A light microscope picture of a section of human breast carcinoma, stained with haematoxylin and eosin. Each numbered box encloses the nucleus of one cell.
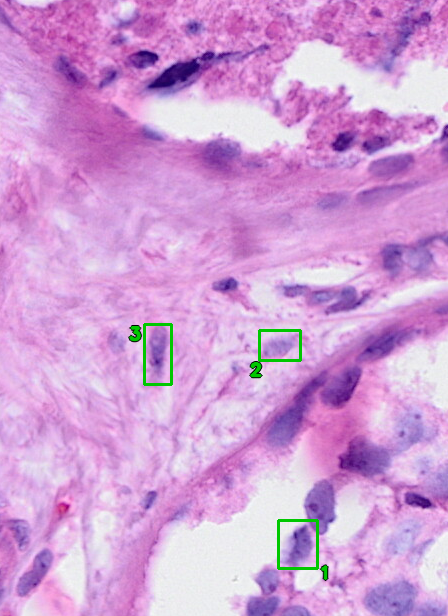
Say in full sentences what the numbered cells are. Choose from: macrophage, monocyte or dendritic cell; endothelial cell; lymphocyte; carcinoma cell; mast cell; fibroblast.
Cell 1 is a carcinoma cell. Cells 2 and 3 are fibroblasts.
